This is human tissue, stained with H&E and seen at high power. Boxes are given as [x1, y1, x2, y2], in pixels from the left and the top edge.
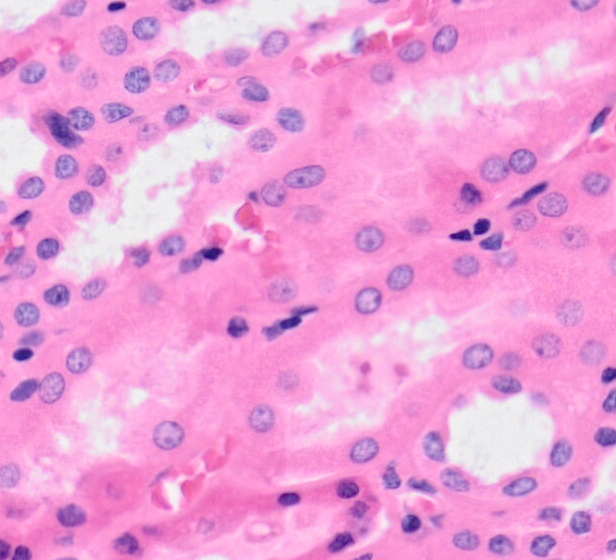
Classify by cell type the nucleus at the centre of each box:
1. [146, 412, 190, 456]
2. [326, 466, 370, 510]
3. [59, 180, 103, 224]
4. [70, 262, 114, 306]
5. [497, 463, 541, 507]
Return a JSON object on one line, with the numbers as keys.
{"1": "proximal tubule cell", "2": "proximal tubule cell", "3": "loop of Henle or distal tubule cell", "4": "loop of Henle or distal tubule cell", "5": "loop of Henle or distal tubule cell"}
